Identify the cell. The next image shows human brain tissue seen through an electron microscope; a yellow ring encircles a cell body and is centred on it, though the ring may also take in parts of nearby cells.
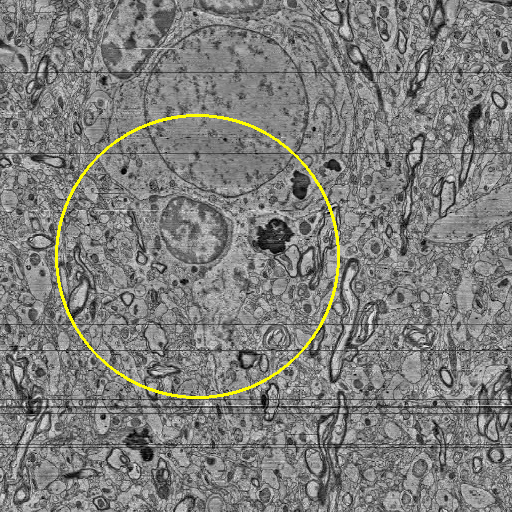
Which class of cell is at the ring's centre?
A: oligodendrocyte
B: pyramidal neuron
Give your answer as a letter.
A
